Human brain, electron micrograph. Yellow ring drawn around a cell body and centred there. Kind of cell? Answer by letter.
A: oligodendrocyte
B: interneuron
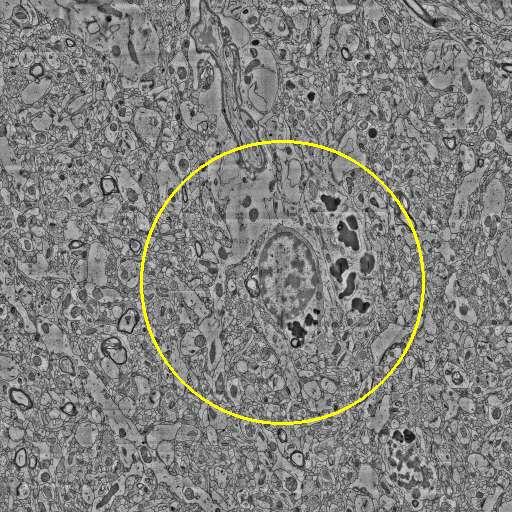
A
